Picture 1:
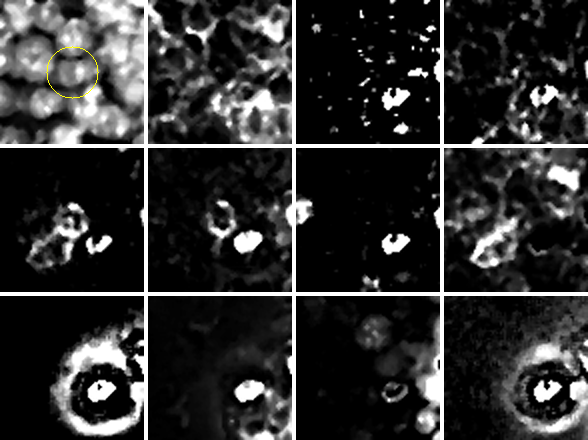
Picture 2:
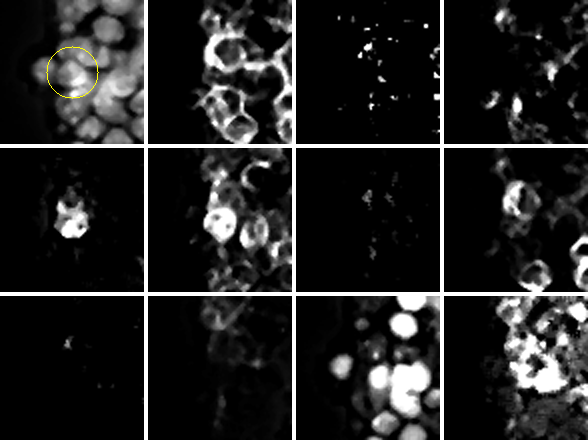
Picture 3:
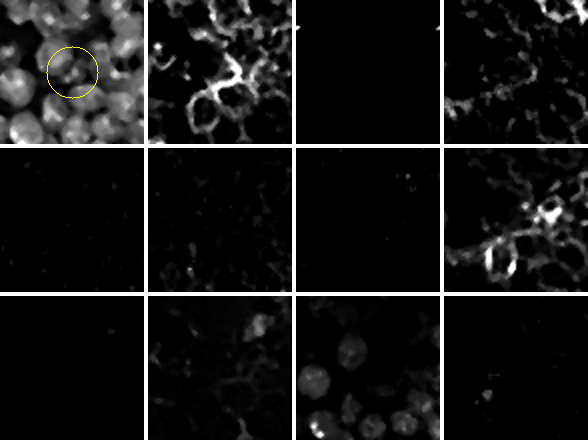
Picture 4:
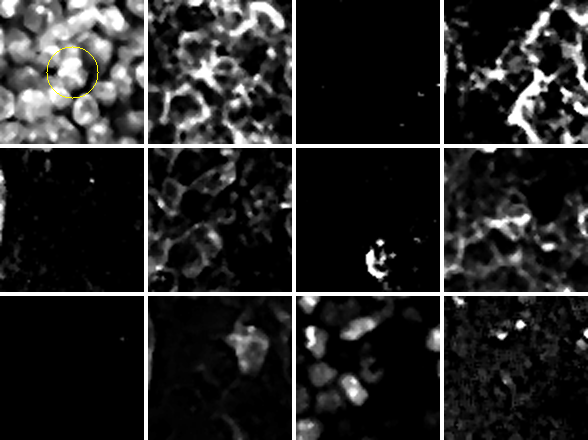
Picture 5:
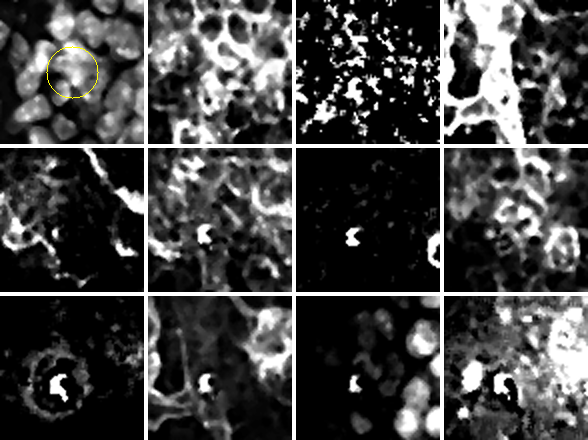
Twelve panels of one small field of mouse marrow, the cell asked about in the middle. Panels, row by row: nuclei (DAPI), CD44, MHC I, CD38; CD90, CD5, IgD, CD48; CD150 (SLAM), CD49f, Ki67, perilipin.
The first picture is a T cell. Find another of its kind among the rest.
Picture 2.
